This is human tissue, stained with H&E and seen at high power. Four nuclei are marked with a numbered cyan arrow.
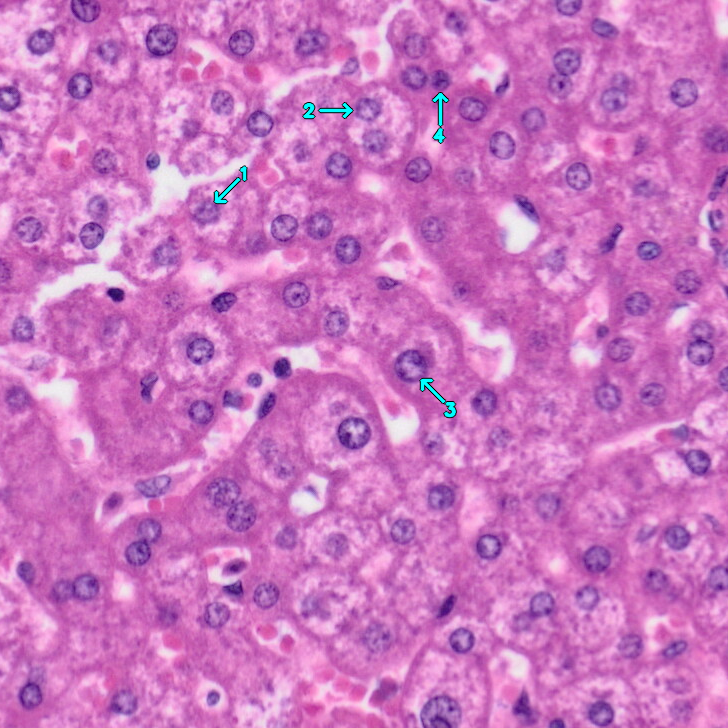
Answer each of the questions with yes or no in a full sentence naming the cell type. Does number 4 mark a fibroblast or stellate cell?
Yes, the cell that number 4 points to is a fibroblast or stellate cell.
